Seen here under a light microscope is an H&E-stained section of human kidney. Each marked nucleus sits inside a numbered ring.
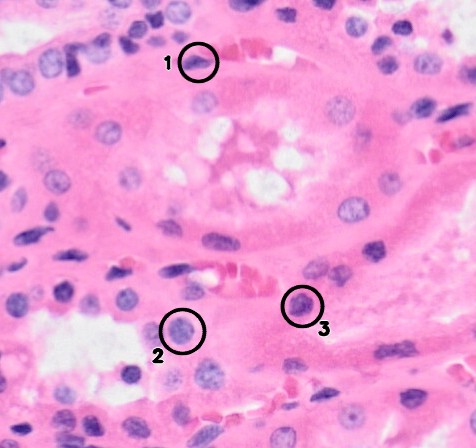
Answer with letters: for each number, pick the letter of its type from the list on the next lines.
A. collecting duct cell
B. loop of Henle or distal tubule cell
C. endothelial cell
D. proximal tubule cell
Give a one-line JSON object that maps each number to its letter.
{"1": "C", "2": "B", "3": "D"}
